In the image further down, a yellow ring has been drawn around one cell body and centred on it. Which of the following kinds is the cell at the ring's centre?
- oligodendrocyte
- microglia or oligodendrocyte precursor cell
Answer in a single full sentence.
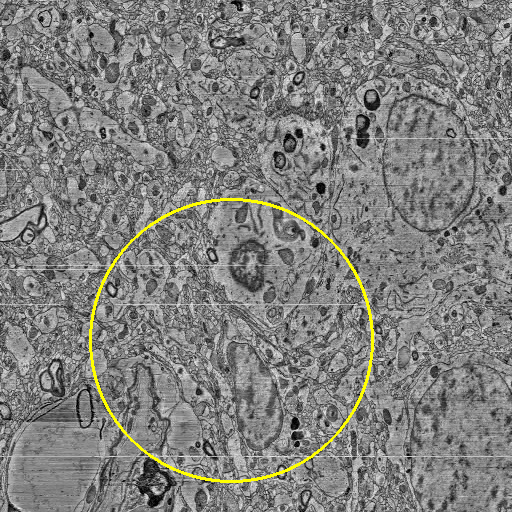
In the picture, the cell sitting at the centre of the yellow ring is a microglial cell or oligodendrocyte precursor cell.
